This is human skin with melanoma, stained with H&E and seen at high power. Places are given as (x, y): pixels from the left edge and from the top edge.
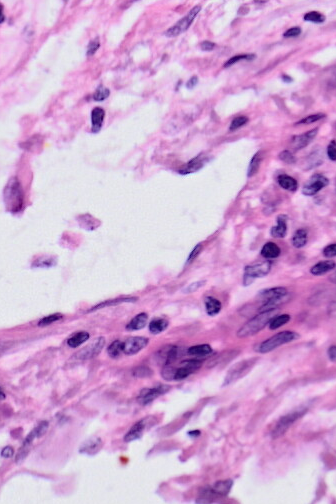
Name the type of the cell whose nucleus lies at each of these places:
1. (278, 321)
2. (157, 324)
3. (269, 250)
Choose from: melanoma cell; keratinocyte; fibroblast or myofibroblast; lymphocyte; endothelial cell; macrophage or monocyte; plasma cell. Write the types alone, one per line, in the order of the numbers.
endothelial cell
lymphocyte
plasma cell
